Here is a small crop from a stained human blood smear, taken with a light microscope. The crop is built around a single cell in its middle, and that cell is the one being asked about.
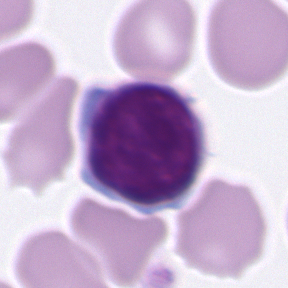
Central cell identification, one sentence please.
Looking at the middle of the crop, the cell there is a typical lymphocyte.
